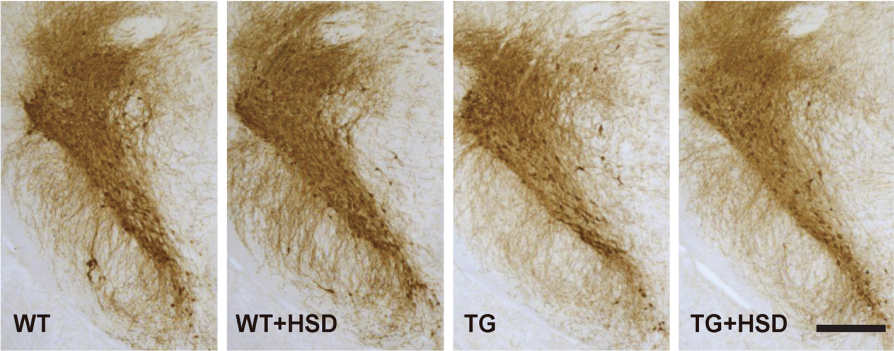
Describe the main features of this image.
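In every image a dense, obliquely running band of brown cell bodies and tangled processes sweeps from the upper left downward to the right; this is the compact part of the nucleus. Below it, brown fibres radiate downward into the paler zone toward the ventral surface. Individual cell bodies show as small dark dots within the meshwork of processes. The overall shape and density of the stained band look broadly similar across the four sections.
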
